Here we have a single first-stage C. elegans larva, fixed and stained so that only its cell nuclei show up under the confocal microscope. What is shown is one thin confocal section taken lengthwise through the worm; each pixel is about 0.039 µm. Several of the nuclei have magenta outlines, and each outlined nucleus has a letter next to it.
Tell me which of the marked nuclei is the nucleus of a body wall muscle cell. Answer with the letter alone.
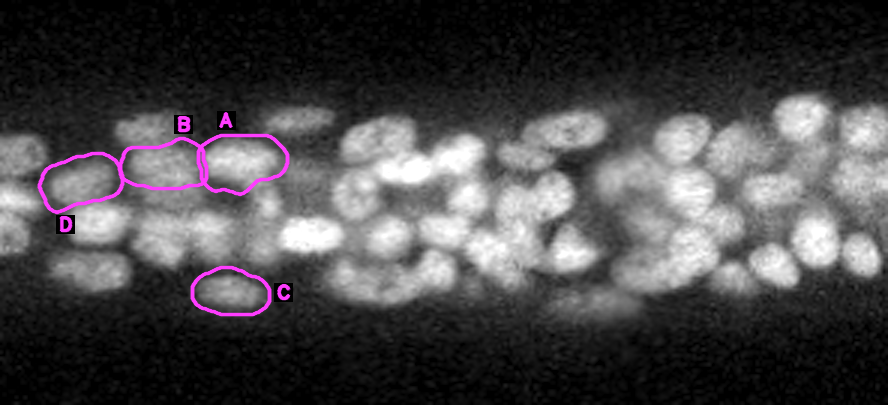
C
